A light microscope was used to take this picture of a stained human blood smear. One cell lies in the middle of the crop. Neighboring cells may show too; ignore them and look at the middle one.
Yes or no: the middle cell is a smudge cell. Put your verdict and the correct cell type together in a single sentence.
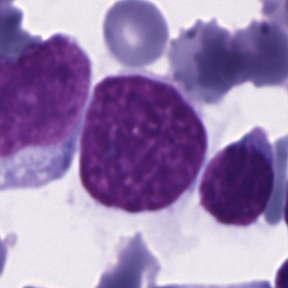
No, the cell placed in the centre is a myeloblast and is not a smudge cell.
